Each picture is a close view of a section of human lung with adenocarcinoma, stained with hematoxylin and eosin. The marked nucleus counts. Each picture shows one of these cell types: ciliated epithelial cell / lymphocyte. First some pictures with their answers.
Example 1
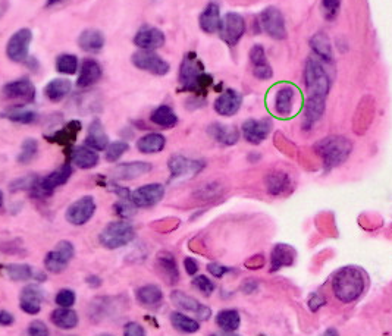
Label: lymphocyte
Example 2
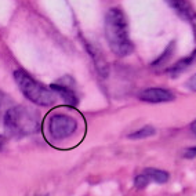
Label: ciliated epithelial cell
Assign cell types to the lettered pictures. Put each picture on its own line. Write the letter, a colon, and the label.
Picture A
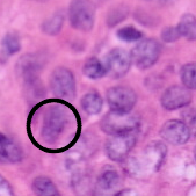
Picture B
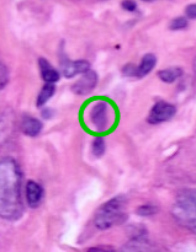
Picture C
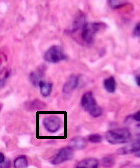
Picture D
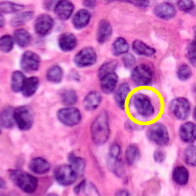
A: ciliated epithelial cell
B: lymphocyte
C: lymphocyte
D: lymphocyte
